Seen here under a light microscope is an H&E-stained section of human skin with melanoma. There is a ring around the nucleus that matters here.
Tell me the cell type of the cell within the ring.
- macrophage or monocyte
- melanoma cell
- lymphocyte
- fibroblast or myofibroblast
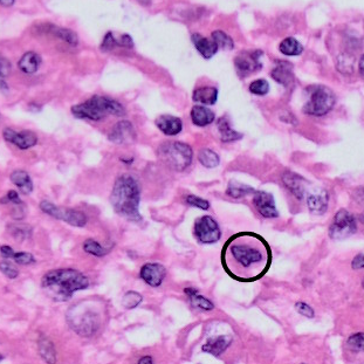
macrophage or monocyte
